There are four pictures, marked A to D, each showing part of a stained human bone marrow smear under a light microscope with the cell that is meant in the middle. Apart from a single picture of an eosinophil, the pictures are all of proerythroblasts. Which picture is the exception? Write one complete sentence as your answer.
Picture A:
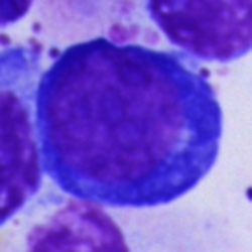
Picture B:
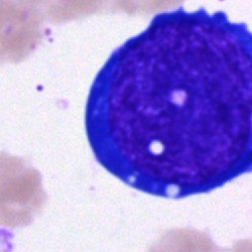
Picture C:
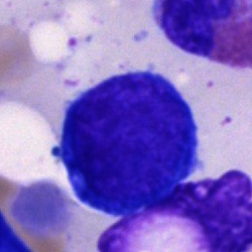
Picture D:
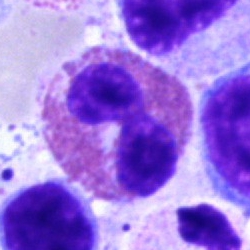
Picture D is the one that shows the eosinophil.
